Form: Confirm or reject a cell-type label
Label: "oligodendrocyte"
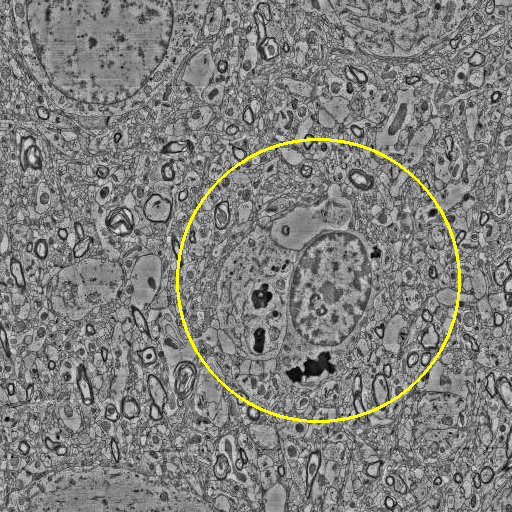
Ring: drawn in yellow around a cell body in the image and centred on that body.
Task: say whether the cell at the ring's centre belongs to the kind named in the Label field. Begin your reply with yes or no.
Yes, it belongs to that kind.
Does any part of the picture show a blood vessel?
No, none appears.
